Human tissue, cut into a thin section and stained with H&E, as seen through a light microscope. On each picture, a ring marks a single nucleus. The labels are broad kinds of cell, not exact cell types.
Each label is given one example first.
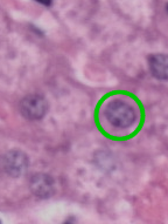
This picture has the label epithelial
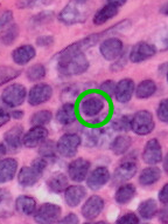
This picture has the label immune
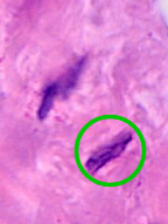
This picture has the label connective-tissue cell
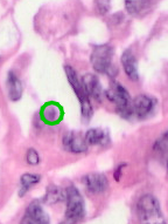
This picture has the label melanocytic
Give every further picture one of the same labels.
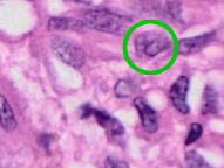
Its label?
melanocytic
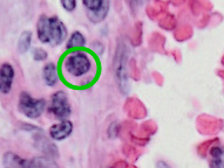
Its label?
immune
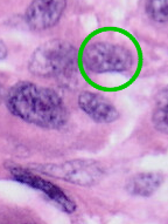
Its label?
melanocytic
